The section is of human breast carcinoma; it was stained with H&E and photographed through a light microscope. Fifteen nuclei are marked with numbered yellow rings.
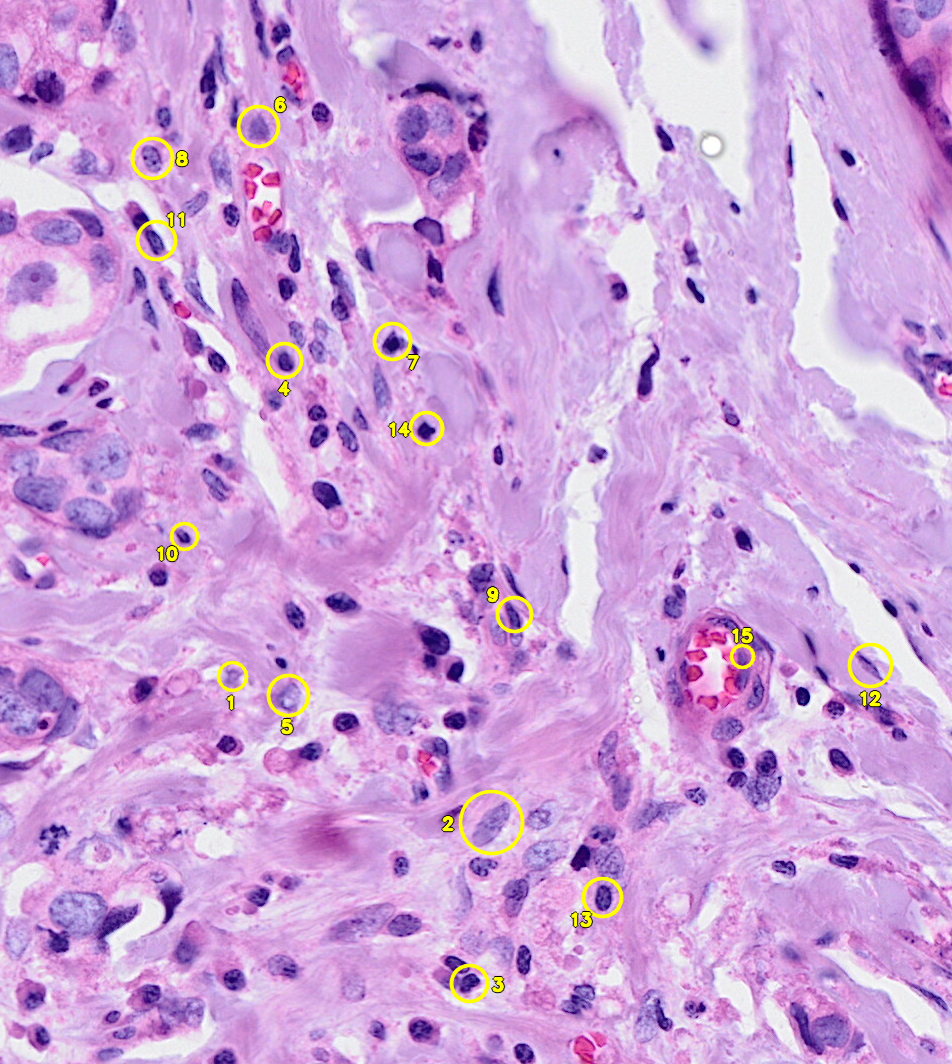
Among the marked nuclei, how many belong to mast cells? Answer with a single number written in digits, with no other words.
1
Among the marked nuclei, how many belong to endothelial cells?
3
